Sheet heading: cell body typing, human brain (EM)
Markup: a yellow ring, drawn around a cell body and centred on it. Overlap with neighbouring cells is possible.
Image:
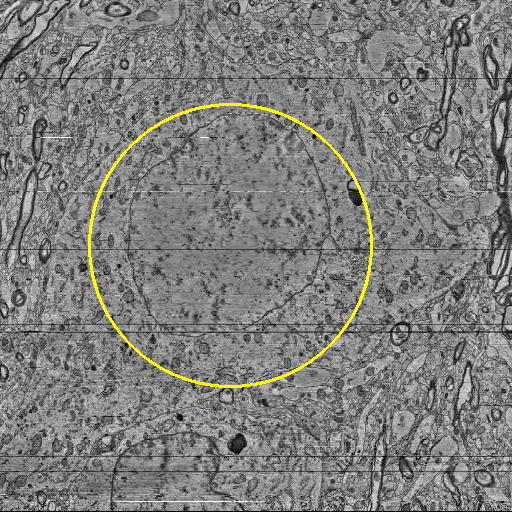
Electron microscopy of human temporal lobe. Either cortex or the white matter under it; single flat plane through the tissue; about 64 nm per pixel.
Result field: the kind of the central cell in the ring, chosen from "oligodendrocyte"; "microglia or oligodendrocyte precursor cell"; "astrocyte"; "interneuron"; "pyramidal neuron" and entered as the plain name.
pyramidal neuron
